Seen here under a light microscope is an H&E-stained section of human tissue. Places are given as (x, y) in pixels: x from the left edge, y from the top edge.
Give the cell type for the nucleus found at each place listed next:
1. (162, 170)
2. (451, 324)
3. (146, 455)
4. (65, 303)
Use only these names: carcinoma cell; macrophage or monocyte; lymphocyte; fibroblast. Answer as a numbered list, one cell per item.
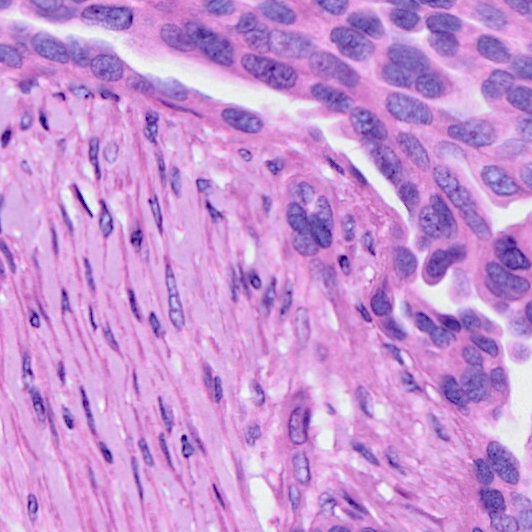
1. fibroblast
2. carcinoma cell
3. fibroblast
4. fibroblast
